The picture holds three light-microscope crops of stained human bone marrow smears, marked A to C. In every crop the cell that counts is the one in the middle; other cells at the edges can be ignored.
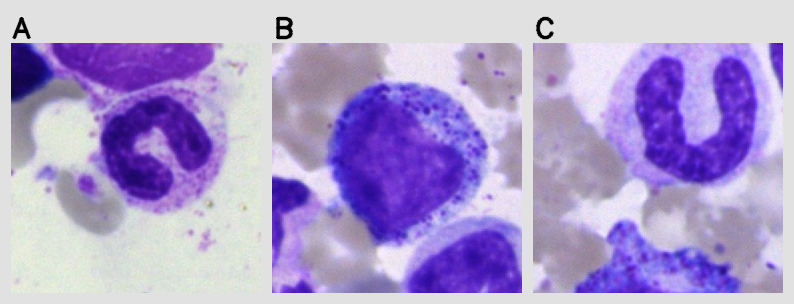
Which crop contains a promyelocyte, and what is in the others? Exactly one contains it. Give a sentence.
Crop B is best given as a promyelocyte, while crop A is a segmented neutrophil and crop C is a band neutrophil.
